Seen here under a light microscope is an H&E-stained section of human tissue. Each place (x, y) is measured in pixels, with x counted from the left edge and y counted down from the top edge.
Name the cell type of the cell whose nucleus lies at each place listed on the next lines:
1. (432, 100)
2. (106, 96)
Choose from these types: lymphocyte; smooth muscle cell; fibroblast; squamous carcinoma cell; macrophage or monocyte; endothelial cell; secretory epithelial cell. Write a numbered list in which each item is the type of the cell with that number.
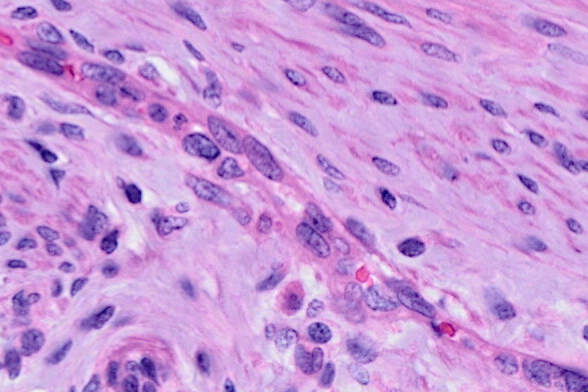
1. smooth muscle cell
2. endothelial cell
